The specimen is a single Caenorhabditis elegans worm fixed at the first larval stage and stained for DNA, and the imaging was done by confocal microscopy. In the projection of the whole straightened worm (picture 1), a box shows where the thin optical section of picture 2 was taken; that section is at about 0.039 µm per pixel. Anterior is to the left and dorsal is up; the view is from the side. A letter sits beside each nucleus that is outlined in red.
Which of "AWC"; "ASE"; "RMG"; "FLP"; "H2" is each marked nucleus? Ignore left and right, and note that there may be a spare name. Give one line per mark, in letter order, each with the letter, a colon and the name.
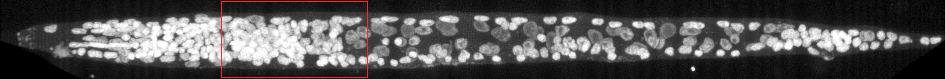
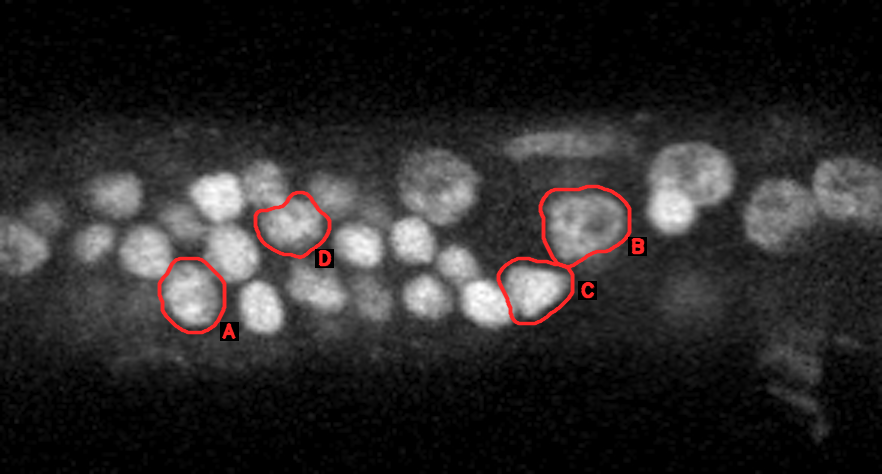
A: AWC
B: H2
C: RMG
D: ASE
